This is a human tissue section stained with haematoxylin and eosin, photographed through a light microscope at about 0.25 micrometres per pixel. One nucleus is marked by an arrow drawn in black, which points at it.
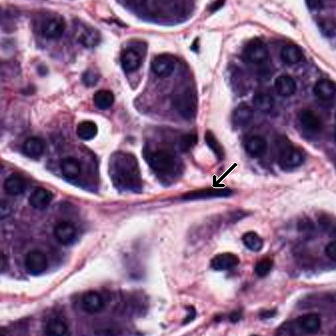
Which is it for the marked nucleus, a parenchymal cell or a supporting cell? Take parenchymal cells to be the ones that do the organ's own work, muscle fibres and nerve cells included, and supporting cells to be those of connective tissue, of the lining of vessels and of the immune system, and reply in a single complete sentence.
In this section, a supporting cell is the cell with the marked nucleus.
